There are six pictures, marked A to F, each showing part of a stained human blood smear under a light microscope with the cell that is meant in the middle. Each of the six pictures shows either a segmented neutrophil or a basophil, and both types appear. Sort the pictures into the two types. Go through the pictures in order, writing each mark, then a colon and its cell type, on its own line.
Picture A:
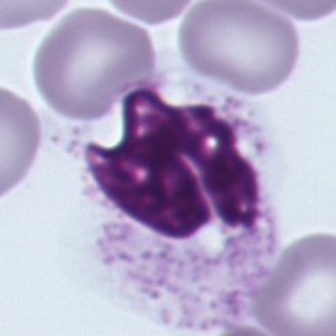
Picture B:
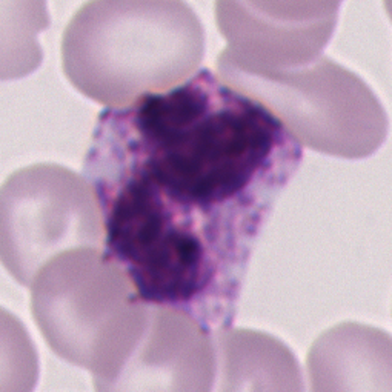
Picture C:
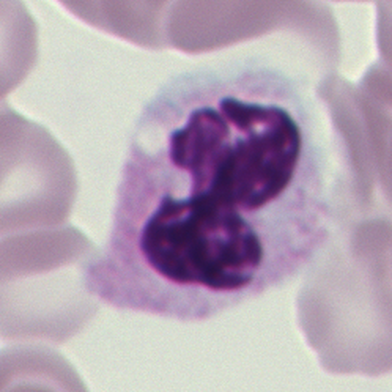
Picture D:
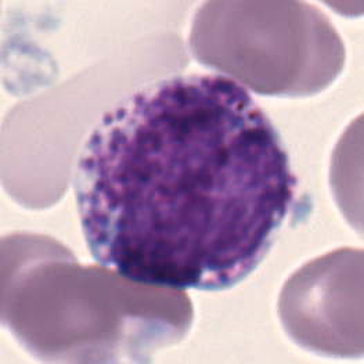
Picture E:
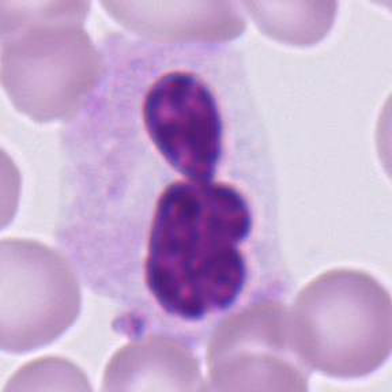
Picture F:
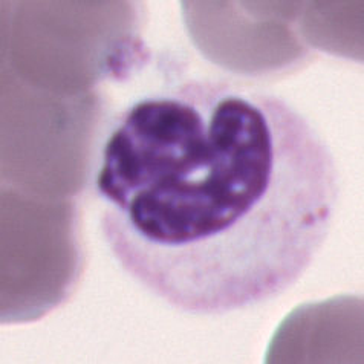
A: segmented neutrophil
B: basophil
C: segmented neutrophil
D: basophil
E: segmented neutrophil
F: segmented neutrophil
